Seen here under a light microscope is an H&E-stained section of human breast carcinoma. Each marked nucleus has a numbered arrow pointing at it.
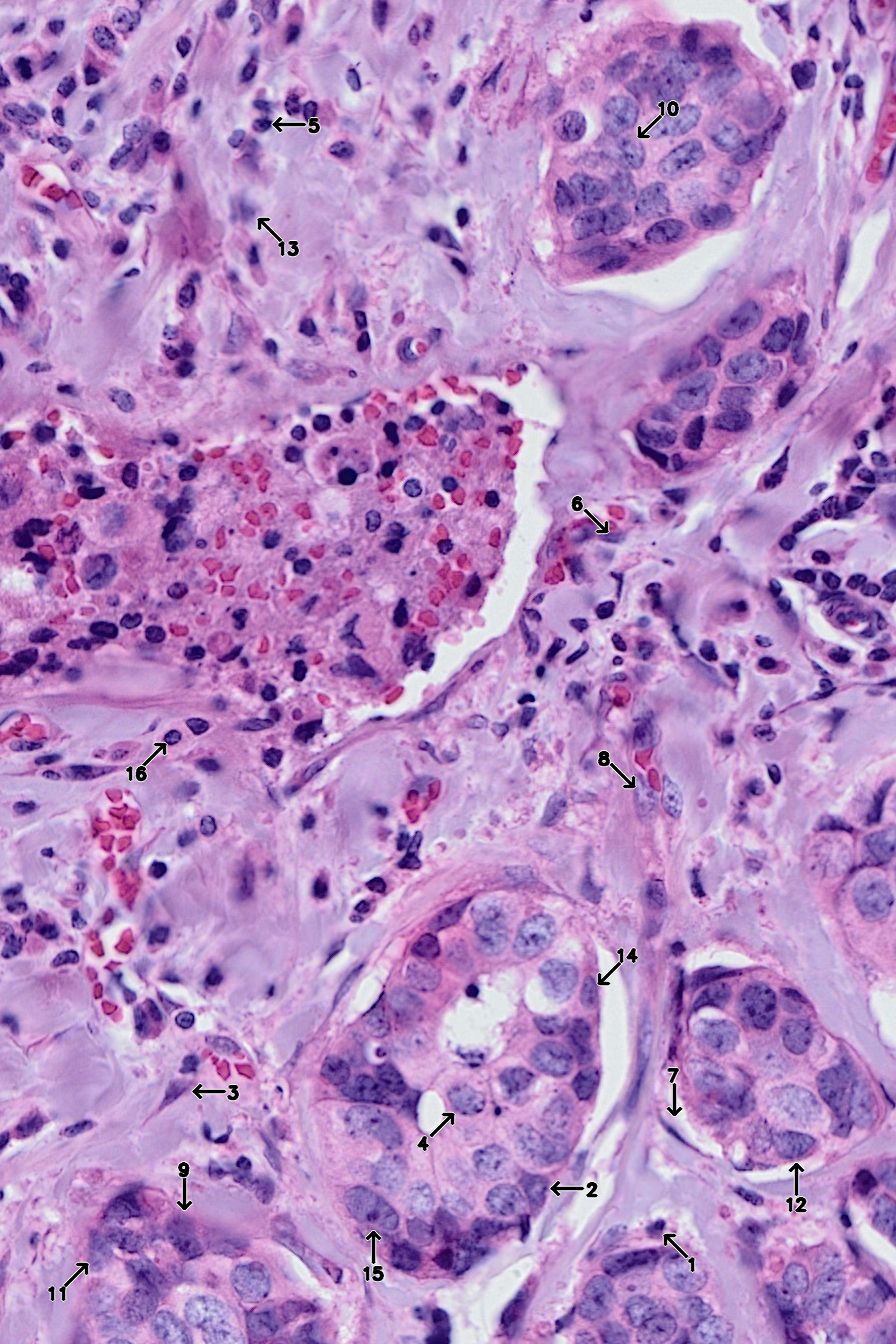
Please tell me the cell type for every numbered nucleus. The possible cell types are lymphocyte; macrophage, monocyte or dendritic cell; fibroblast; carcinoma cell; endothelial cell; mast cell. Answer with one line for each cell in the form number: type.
1: lymphocyte
2: carcinoma cell
3: fibroblast
4: carcinoma cell
5: lymphocyte
6: endothelial cell
7: fibroblast
8: endothelial cell
9: carcinoma cell
10: carcinoma cell
11: carcinoma cell
12: carcinoma cell
13: fibroblast
14: carcinoma cell
15: carcinoma cell
16: mast cell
